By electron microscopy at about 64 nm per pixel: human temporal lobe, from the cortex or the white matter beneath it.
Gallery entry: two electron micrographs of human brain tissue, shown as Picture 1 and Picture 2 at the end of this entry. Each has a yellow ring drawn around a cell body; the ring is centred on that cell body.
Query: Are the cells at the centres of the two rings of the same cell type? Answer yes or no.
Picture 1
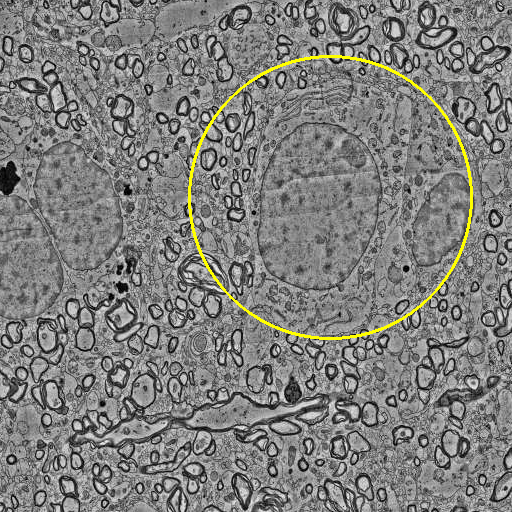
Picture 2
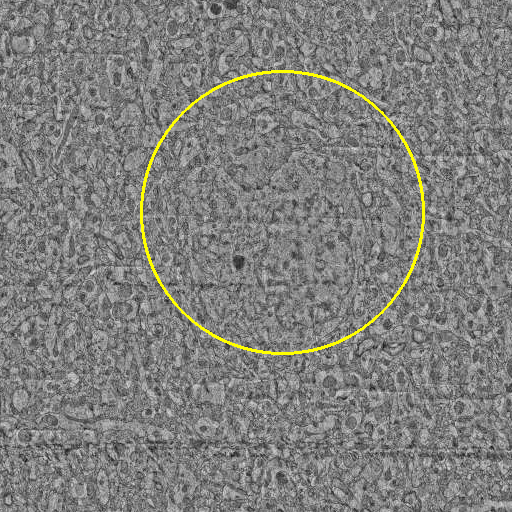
yes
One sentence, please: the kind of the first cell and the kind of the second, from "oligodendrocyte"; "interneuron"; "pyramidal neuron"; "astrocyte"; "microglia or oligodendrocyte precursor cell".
The second cell is an interneuron, just as the first is.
